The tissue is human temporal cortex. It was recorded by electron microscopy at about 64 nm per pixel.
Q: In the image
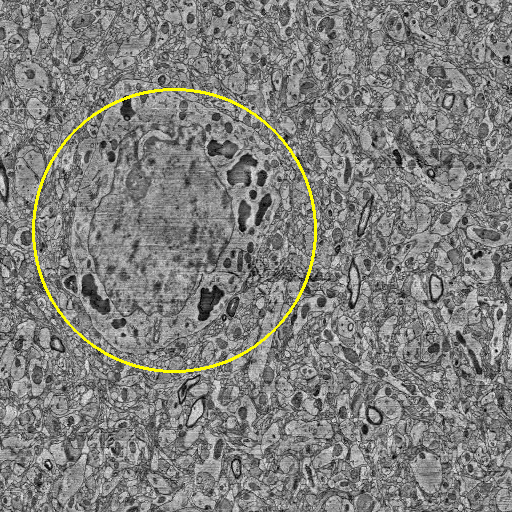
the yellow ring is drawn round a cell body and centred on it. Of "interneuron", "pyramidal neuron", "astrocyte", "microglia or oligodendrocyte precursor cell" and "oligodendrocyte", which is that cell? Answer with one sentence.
The cell centred in the ring is an interneuron.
